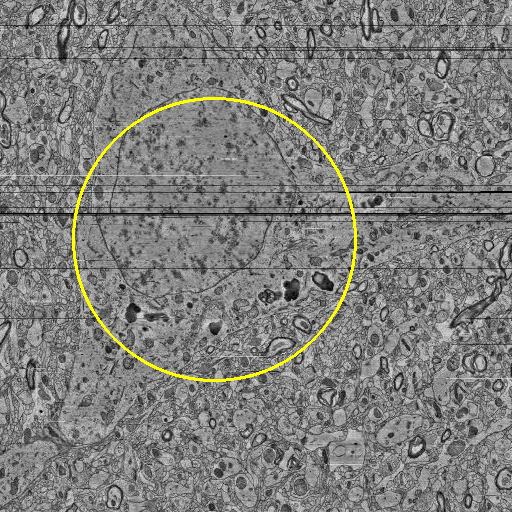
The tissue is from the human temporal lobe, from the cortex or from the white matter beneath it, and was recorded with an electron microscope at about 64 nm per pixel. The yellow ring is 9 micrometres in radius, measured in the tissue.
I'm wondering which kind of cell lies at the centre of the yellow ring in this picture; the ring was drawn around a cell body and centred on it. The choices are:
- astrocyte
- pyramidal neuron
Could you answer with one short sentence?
At the centre of the ring lies a pyramidal neuron.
